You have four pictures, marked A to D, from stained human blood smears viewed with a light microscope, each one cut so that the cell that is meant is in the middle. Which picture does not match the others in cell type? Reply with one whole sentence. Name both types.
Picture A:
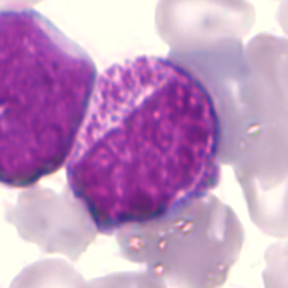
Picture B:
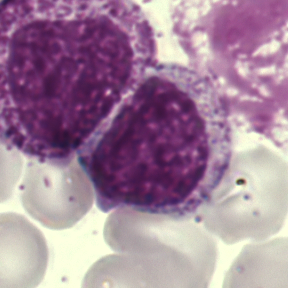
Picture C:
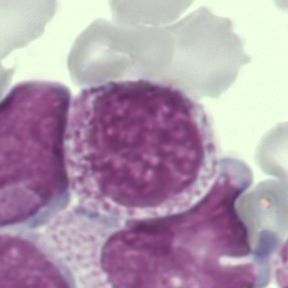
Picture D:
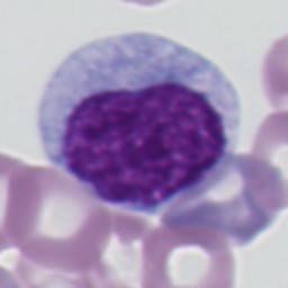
Unlike the rest, which show myelocytes, picture D shows a monocyte.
